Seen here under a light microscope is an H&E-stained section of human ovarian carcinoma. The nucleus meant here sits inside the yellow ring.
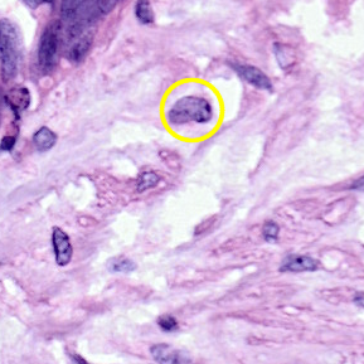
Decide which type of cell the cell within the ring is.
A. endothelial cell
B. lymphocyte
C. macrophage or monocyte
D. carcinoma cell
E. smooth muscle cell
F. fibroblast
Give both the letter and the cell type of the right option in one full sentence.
Of the options given, C is right: the cell within the ring is a macrophage or monocyte.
